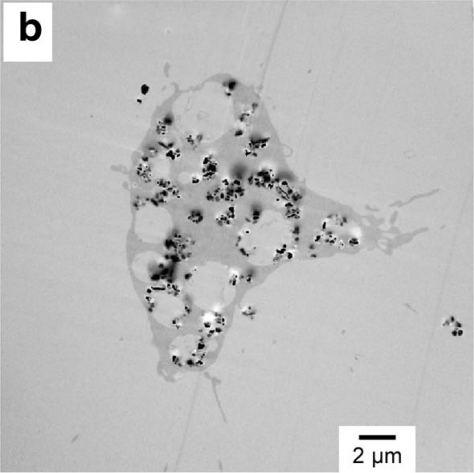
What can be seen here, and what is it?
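This low-power electron micrograph shows a single irregular cell with several thin cytoplasmic extensions lying in pale resin. Its cytoplasm is filled with many round, pale vacuoles, most of which contain clusters of small, electron-dense black particles, often gathered along the vacuole walls. Small white gaps sit beside some particle clusters. A small cluster of similar dark particles lies free outside the cell at the right edge.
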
